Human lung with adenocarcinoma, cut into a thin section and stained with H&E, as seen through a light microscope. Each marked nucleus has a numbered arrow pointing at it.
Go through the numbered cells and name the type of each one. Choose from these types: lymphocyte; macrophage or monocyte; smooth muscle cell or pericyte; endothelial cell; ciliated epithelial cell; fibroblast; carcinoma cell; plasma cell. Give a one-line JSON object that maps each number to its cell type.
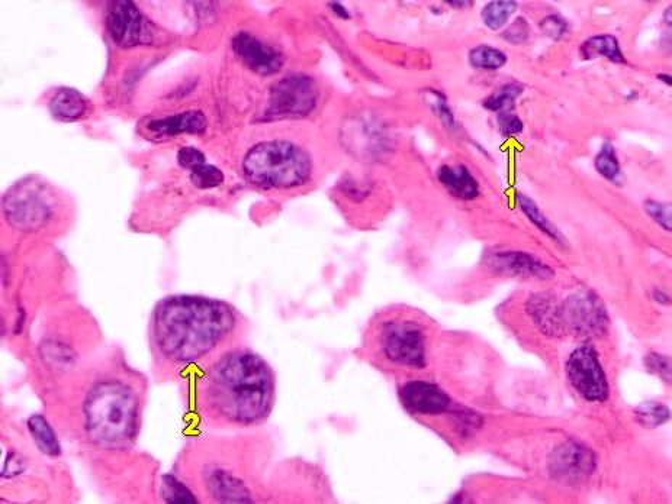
{"1": "lymphocyte", "2": "carcinoma cell"}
